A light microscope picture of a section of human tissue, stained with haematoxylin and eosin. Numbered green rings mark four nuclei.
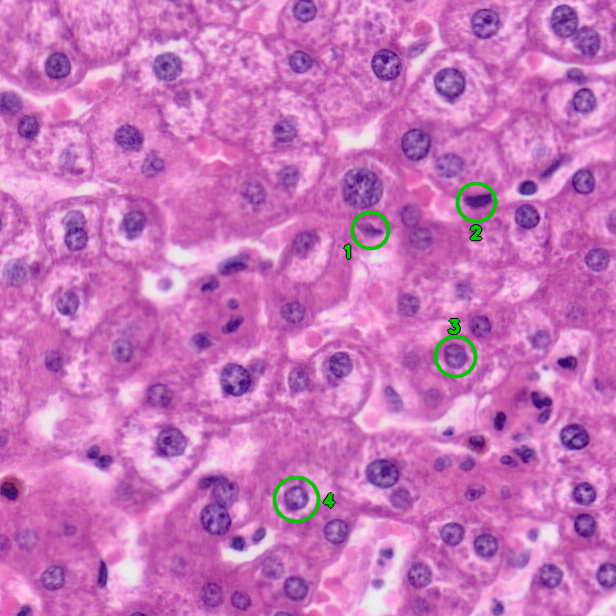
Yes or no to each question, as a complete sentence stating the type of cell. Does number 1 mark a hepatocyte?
No, it's not a hepatocyte at number 1; that cell is an endothelial cell.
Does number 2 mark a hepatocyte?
No, the cell that carries number 2 is a fibroblast or stellate cell, not a hepatocyte.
